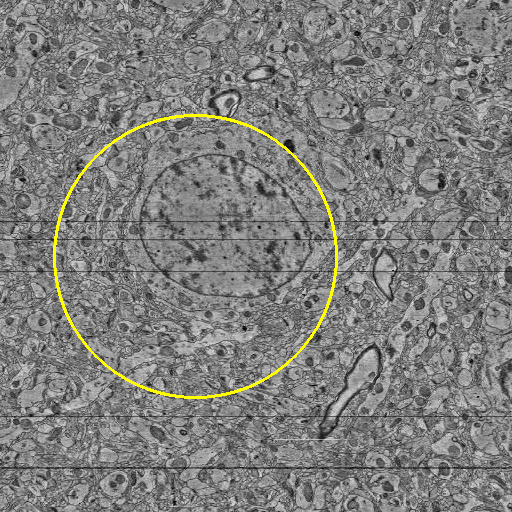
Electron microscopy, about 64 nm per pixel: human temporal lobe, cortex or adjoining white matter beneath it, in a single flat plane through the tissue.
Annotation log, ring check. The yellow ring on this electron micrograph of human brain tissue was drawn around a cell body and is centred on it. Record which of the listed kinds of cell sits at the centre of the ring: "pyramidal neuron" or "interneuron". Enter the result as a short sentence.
The cell at the centre of the ring is a pyramidal neuron.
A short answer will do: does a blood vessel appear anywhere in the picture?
No, the image shows no blood vessel.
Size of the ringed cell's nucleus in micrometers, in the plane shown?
About 11 by 9 micrometers, in this plane.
